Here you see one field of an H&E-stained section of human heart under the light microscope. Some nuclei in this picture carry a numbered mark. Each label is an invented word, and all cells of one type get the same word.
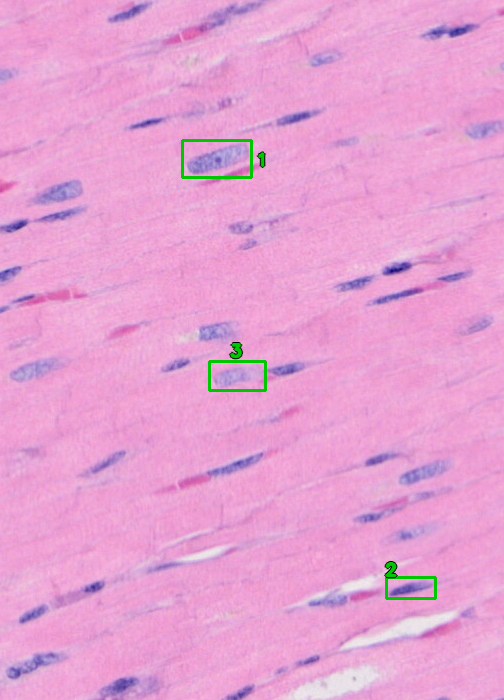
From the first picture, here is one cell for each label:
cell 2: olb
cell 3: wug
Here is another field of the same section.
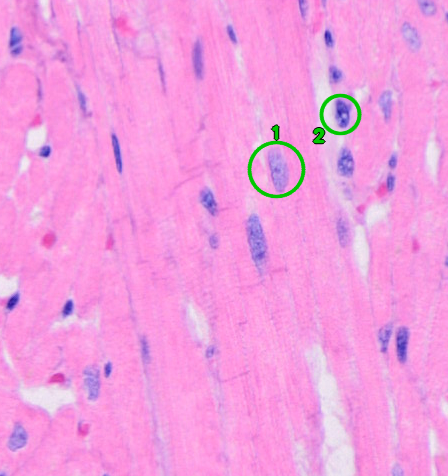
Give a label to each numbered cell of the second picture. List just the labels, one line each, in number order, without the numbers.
wug
olb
